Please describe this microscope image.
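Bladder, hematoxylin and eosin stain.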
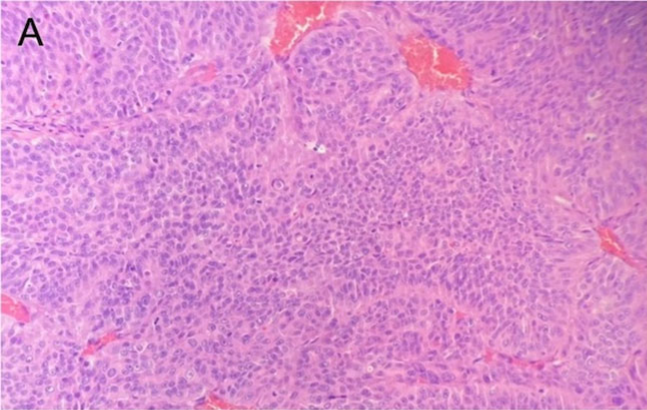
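The cells are crowded tightly together, each with an oval to rounded nucleus that stains dark purple and varies in size from cell to cell. Their cytoplasm is pale pink and the cell borders are indistinct. Here and there, thin-walled vessels packed with bright red blood cells run between the sheets, with tumor cells pressed right up against them. There is almost no stroma between the cells, giving the field a uniform, densely cellular look.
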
